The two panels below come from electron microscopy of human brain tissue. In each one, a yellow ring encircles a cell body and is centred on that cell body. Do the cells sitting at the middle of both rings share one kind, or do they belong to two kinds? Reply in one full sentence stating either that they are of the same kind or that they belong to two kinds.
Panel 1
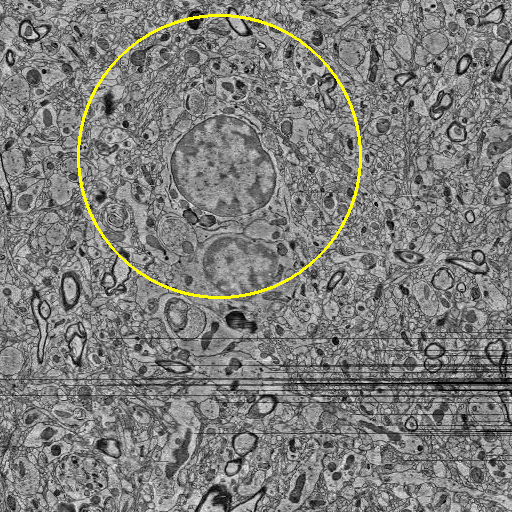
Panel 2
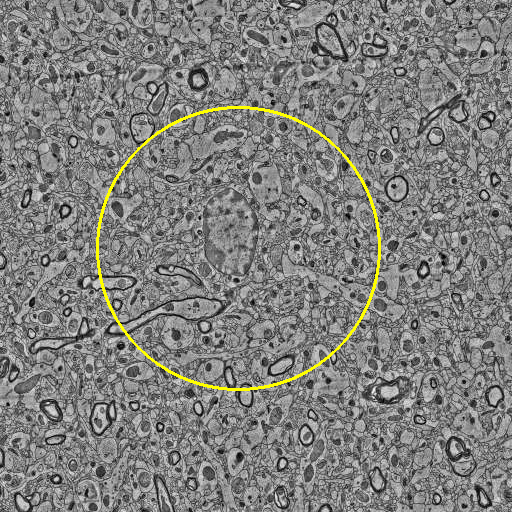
The cells at the centres of the two rings are of the same kind.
